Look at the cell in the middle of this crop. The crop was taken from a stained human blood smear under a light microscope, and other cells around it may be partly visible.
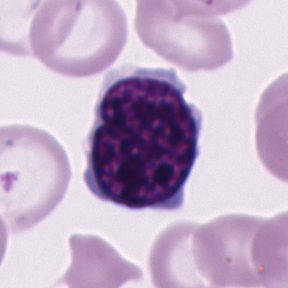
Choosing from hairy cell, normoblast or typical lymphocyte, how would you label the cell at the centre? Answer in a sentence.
The cell that lies at the centre of the crop is a normoblast.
